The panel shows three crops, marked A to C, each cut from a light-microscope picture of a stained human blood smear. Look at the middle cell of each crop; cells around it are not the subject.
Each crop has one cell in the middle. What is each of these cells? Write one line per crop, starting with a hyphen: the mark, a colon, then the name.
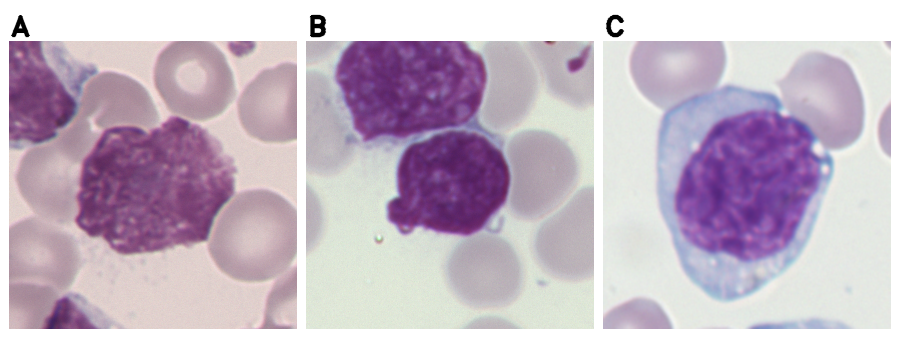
- A: smudge cell
- B: myeloblast
- C: myeloblast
